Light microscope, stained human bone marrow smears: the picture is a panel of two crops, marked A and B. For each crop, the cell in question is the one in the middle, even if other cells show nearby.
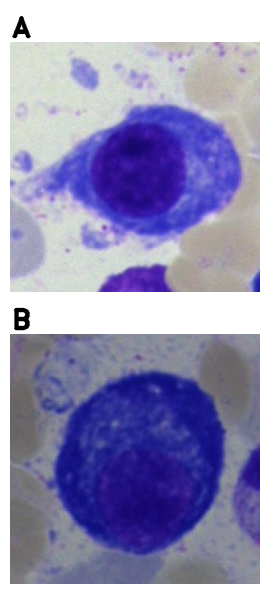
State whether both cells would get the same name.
yes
